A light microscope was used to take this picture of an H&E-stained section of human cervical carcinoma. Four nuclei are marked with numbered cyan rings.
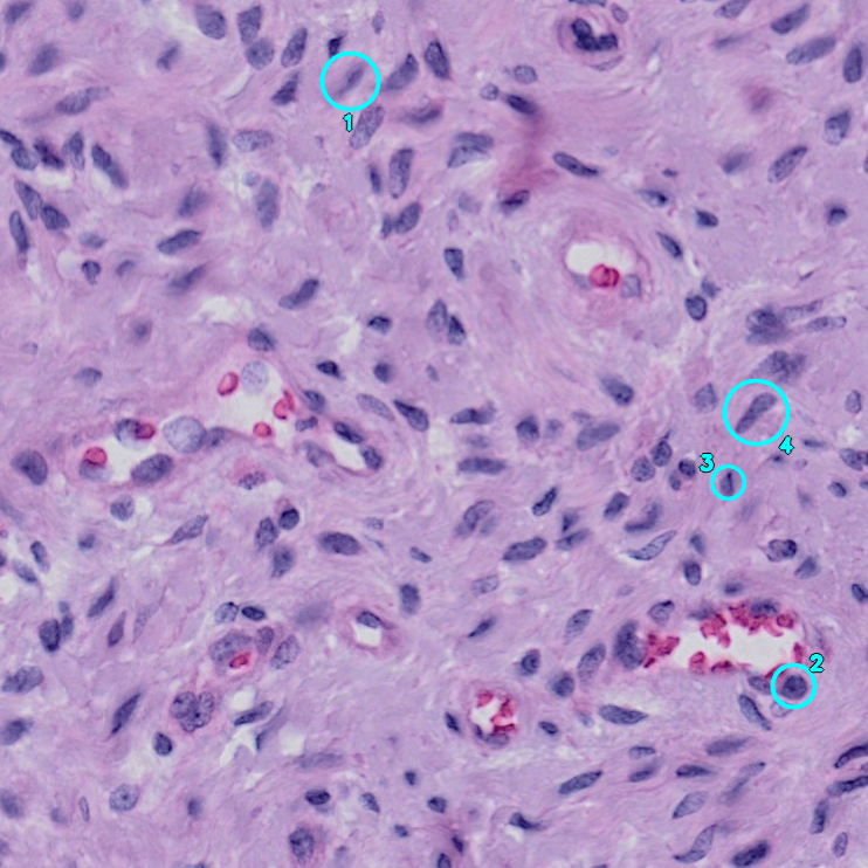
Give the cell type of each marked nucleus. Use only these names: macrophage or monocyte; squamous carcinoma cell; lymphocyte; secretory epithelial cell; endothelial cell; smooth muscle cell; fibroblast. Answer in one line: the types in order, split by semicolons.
fibroblast; endothelial cell; fibroblast; fibroblast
